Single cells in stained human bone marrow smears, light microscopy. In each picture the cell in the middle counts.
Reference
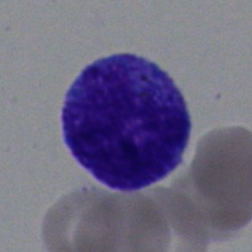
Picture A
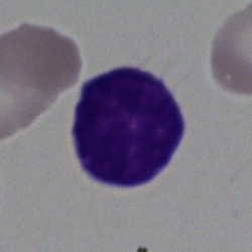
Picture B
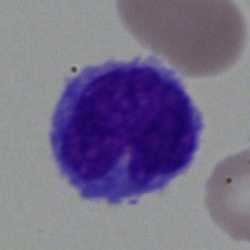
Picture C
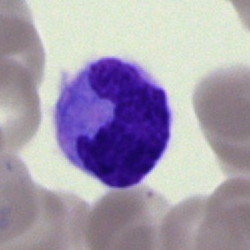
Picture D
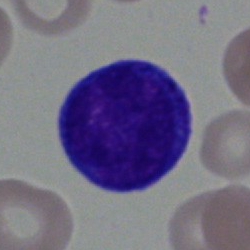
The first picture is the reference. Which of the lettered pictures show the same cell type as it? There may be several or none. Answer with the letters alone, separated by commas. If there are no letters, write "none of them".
B, C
